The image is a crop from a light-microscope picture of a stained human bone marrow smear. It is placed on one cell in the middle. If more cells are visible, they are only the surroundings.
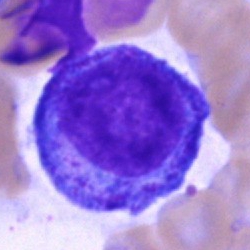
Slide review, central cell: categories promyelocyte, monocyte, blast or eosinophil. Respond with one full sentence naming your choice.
Of the cells in this crop, the central one is a promyelocyte.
